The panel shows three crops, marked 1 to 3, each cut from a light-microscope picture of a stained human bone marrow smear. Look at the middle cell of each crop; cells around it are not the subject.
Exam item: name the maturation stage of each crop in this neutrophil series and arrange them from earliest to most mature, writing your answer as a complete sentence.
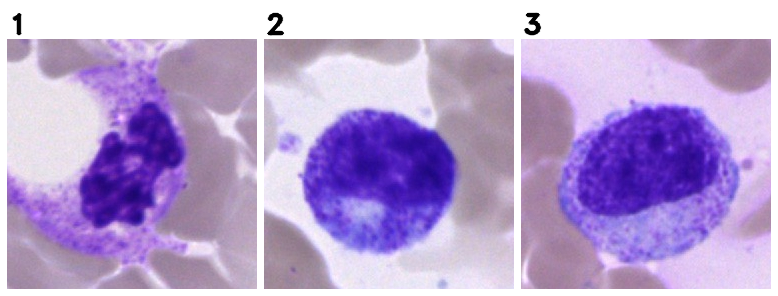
The sequence of maturation runs crop 2 (a promyelocyte), crop 3 (a myelocyte) and crop 1 (a segmented neutrophil), from least to most mature.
